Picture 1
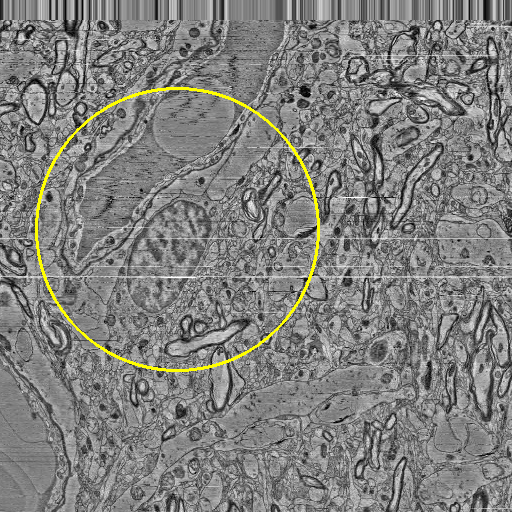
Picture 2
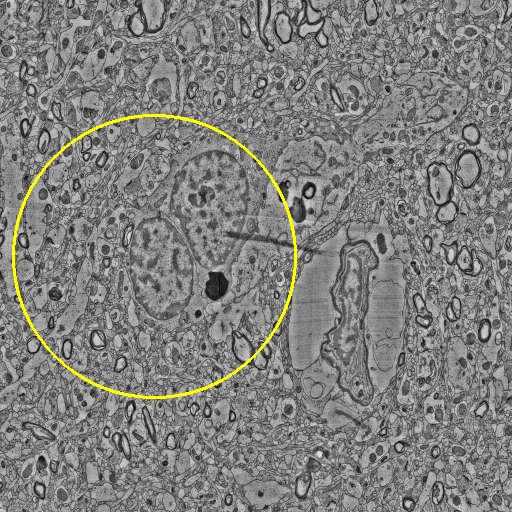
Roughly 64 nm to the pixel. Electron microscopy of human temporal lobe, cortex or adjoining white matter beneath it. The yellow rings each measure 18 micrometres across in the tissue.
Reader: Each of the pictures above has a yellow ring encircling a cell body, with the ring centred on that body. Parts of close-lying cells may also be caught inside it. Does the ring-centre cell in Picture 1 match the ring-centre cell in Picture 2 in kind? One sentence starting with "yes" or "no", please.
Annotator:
Yes, Picture 1 and Picture 2 show ring-centre cells of a single kind.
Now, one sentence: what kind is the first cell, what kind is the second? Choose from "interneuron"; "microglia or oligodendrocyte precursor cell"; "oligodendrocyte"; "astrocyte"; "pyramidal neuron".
Both pictures show an oligodendrocyte at the centre of the ring.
